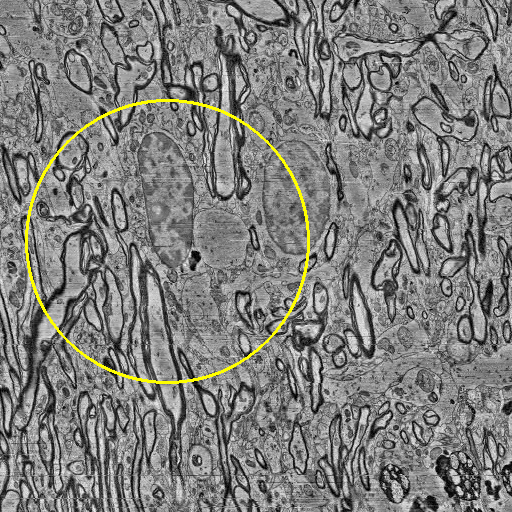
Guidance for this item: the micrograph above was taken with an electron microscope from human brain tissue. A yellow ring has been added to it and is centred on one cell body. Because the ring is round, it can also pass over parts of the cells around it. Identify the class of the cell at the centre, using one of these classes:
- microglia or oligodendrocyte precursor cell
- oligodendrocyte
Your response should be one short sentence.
The ring surrounds the body of a microglial cell or oligodendrocyte precursor cell.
